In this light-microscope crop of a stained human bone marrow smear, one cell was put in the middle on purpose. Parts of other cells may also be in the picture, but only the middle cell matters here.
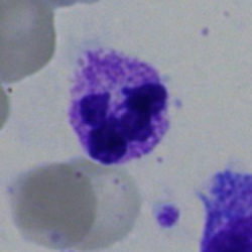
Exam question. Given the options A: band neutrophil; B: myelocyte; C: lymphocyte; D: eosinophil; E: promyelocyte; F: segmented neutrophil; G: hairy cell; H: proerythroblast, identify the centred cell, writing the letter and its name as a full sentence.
In the centre of the crop there is a segmented neutrophil, making option F correct.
